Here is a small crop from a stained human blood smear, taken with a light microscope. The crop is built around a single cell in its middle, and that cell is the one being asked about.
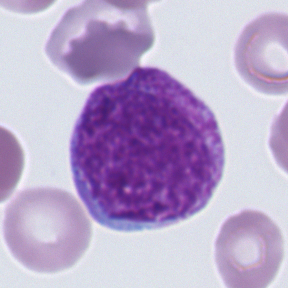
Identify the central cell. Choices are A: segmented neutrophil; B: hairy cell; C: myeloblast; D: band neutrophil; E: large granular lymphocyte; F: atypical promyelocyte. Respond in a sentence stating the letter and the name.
The cell at the centre is an atypical promyelocyte, and option F accordingly is correct.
